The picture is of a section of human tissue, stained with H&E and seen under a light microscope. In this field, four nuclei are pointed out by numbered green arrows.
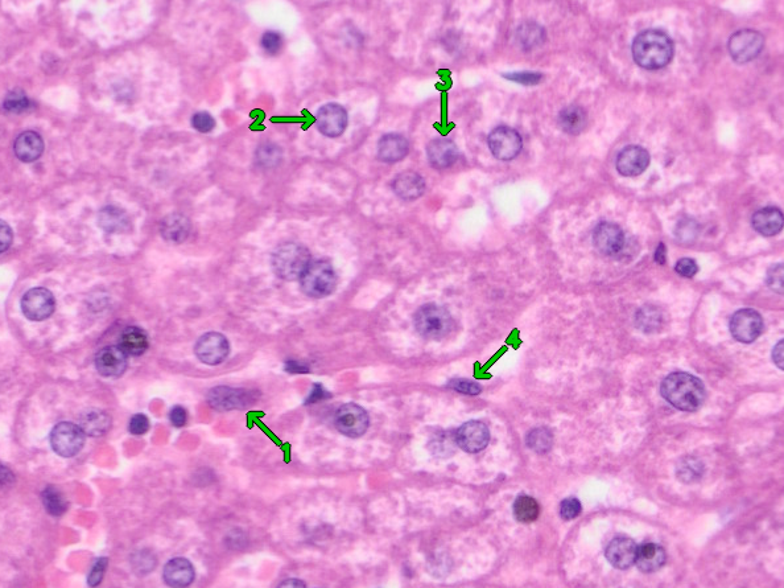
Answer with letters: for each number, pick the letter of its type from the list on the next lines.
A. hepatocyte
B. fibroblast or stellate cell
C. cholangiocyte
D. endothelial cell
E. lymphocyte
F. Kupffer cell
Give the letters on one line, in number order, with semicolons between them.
F; A; A; F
